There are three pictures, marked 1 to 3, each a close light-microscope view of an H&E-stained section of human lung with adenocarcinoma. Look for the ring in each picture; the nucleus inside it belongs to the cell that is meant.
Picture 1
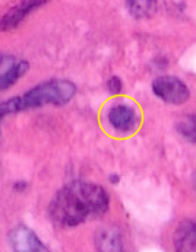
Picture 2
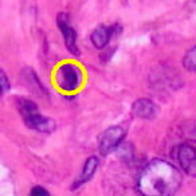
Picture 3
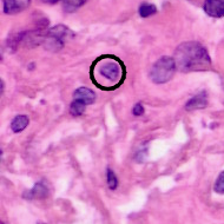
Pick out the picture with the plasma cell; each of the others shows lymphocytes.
2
